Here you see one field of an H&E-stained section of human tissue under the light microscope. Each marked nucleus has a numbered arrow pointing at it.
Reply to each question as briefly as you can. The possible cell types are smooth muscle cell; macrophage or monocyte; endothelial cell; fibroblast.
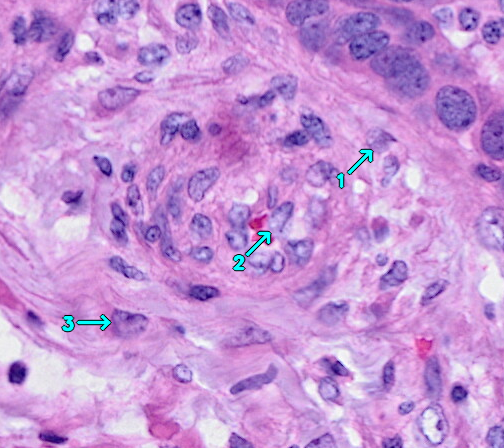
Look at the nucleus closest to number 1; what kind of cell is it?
macrophage or monocyte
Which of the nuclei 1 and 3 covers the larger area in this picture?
3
